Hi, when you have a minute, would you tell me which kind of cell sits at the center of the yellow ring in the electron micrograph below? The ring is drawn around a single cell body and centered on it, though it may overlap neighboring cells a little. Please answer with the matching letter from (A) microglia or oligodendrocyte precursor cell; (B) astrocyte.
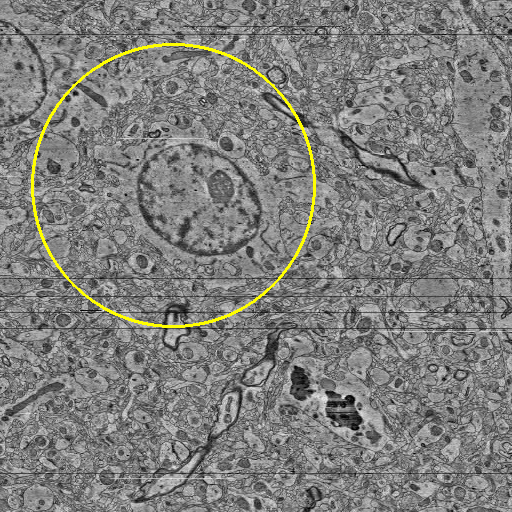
B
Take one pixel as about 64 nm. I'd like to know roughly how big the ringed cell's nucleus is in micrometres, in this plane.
About 8 by 7 micrometres in this plane.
